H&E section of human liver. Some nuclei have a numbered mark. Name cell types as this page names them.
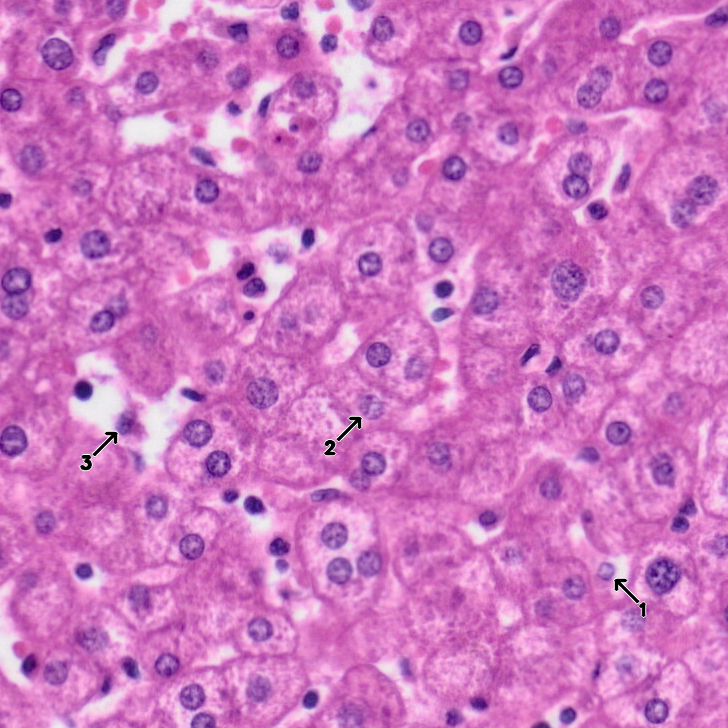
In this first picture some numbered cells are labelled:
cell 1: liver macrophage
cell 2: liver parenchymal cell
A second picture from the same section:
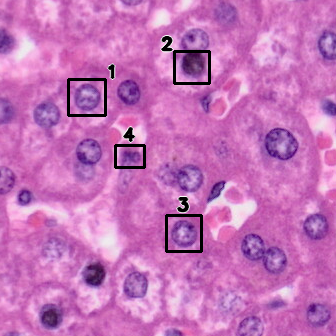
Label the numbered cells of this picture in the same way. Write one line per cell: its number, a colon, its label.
1: liver parenchymal cell
2: liver parenchymal cell
3: liver parenchymal cell
4: liver macrophage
